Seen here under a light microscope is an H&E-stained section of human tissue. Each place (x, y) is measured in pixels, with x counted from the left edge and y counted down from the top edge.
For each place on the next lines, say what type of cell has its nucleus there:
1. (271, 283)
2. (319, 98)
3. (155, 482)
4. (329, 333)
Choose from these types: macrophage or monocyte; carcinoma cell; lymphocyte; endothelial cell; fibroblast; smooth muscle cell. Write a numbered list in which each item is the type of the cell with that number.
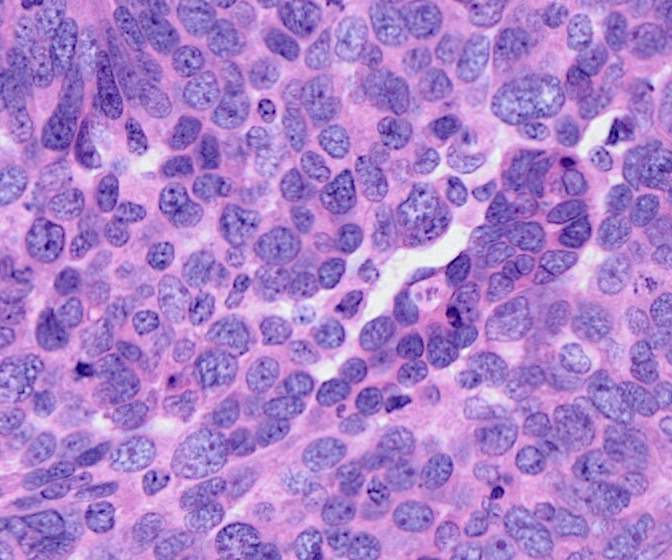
1. carcinoma cell
2. carcinoma cell
3. macrophage or monocyte
4. carcinoma cell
